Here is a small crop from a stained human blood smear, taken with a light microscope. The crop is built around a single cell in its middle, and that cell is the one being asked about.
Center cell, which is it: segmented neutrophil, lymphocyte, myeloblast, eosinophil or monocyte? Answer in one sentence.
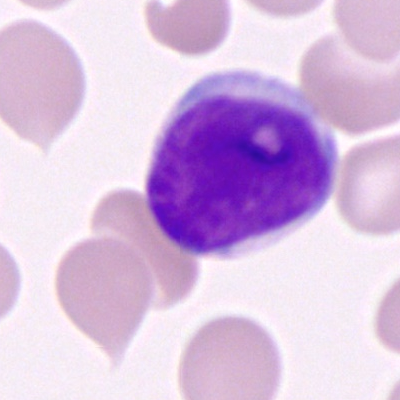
The target cell in the middle of the crop is a myeloblast.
